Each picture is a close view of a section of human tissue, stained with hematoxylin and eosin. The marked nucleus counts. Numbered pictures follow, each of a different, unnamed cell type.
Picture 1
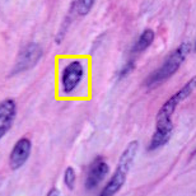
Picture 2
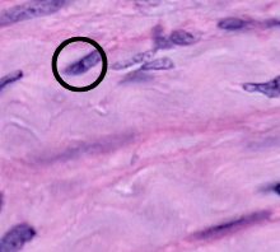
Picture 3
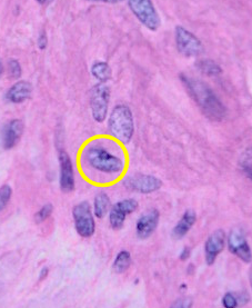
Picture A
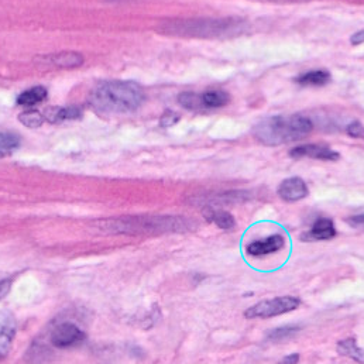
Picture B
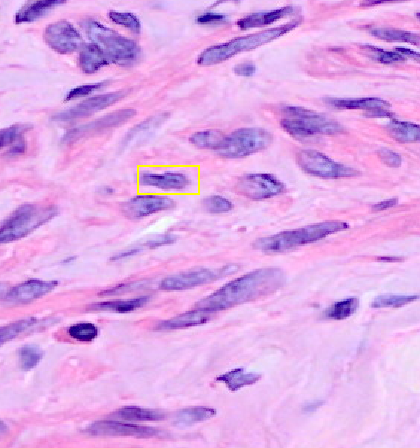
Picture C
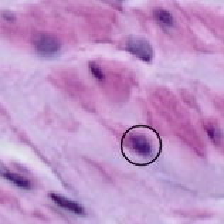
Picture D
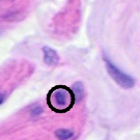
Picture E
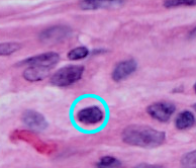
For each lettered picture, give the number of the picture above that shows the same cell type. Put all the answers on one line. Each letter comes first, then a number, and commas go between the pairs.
A 1, B 3, C 3, D 3, E 1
